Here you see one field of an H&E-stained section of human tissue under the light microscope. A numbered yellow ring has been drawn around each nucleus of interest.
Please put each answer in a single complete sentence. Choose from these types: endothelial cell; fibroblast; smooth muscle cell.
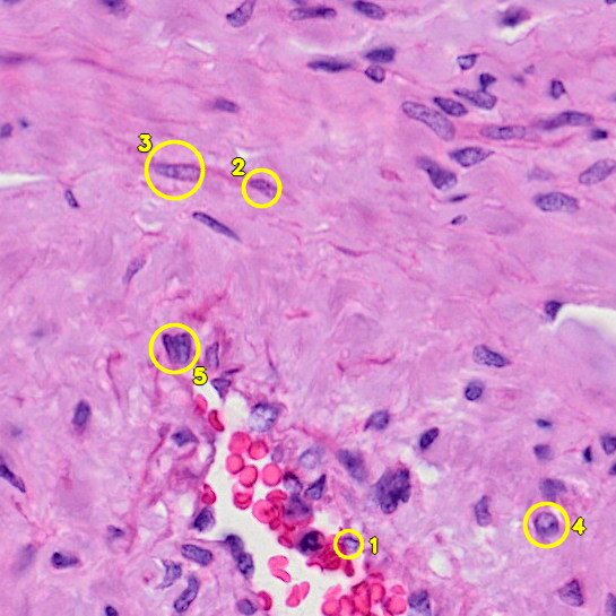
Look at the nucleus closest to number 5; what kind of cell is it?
It is an endothelial cell whose nucleus is nearest to number 5.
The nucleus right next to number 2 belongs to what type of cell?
The nucleus nearest to number 2 is that of a fibroblast.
